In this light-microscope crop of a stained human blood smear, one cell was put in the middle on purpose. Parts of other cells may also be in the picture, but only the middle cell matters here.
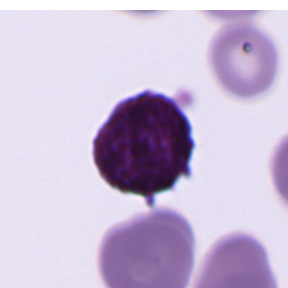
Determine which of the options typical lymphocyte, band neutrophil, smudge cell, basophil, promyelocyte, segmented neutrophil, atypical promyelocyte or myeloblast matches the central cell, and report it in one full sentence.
As for the cell in the middle, it is a myeloblast.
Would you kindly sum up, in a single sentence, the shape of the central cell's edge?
Ragged or projecting, the border of this cell departs from a smooth contour.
